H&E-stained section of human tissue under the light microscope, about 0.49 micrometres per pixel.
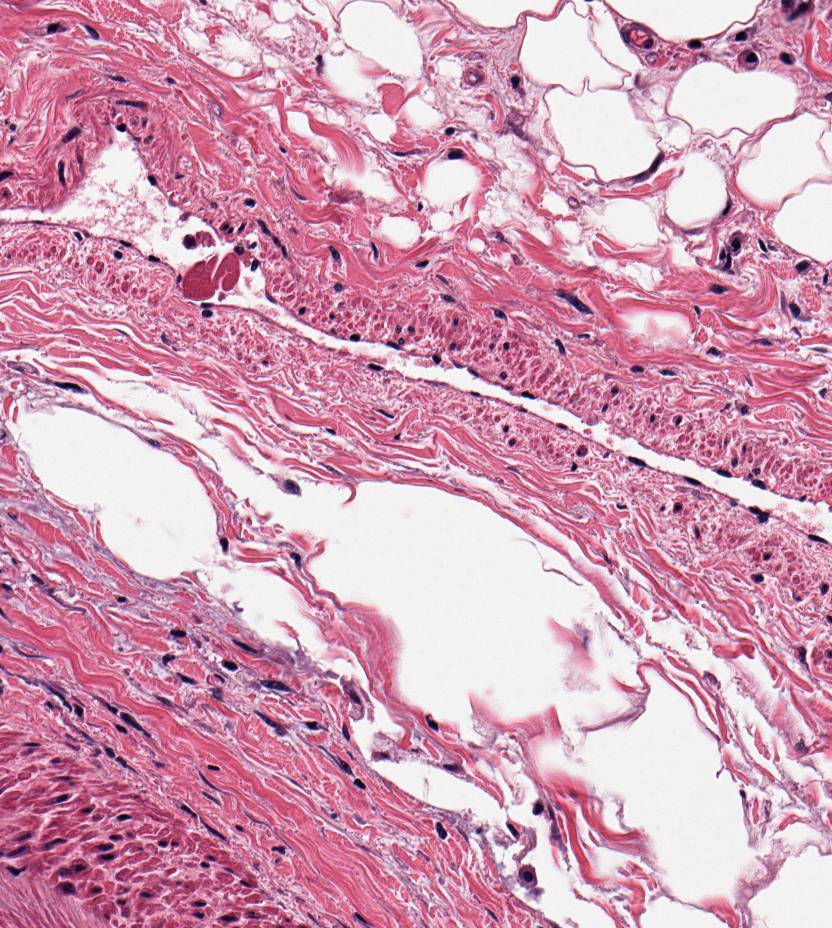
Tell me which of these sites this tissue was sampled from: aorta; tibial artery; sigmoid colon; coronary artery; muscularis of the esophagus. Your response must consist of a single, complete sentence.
A sample from the coronary artery makes up this section.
